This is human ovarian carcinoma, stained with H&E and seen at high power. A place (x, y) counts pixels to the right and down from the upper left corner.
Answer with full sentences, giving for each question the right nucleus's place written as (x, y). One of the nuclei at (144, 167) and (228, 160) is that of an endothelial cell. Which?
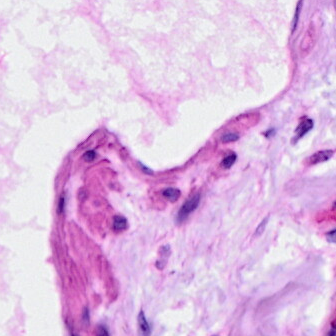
Of the pair, the nucleus located at (144, 167) belongs to an endothelial cell.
